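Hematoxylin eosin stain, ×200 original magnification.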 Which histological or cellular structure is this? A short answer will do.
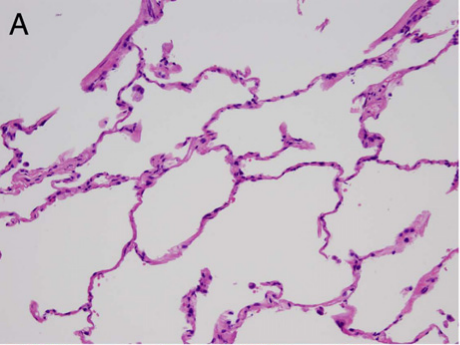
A: Alveolar septa.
